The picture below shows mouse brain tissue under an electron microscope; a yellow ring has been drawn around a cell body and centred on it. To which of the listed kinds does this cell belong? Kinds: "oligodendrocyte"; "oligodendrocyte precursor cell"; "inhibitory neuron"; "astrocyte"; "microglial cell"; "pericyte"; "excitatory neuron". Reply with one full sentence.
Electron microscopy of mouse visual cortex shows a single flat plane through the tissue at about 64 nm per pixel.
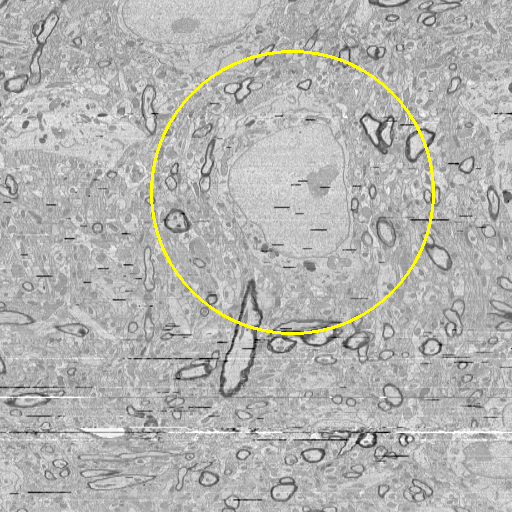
It is an excitatory neuron that the yellow ring in the picture is centred on.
